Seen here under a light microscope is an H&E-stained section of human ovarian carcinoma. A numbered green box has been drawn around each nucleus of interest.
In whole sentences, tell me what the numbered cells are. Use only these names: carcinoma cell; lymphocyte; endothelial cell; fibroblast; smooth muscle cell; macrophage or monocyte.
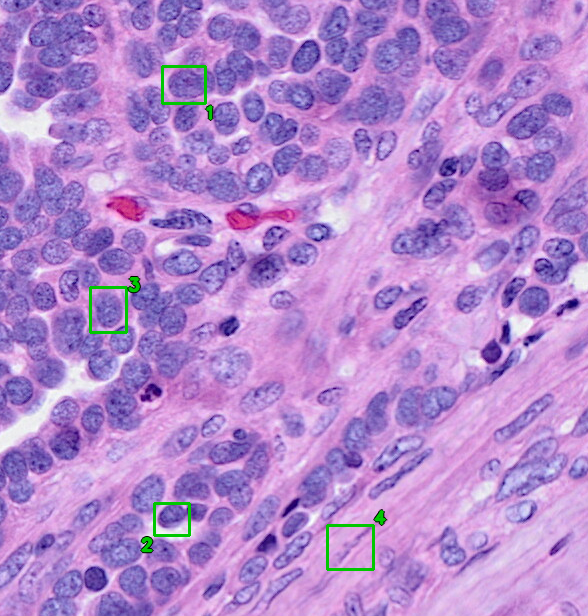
Cell 1 is a carcinoma cell, cell 2 is a carcinoma cell, cell 3 is a carcinoma cell and cell 4 is a fibroblast.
